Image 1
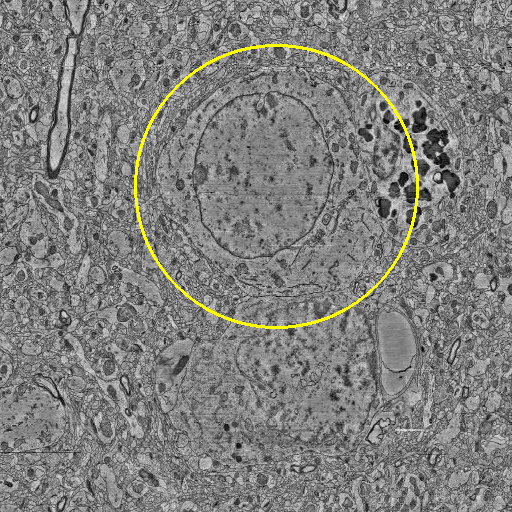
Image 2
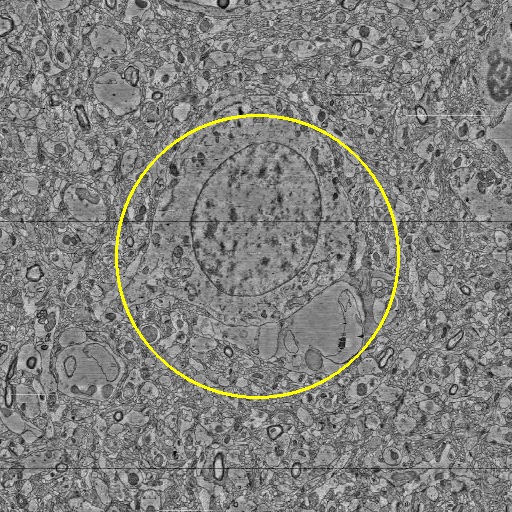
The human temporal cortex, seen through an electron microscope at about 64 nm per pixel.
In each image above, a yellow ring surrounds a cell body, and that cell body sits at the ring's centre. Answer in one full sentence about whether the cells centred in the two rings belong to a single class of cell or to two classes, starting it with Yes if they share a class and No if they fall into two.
Yes, the cells centred in the two yellow rings belong to a single class of cell.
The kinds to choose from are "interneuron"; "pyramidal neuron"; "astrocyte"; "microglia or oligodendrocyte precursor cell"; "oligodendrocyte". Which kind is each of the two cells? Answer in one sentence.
The ring centre holds a pyramidal neuron in each of the two pictures.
